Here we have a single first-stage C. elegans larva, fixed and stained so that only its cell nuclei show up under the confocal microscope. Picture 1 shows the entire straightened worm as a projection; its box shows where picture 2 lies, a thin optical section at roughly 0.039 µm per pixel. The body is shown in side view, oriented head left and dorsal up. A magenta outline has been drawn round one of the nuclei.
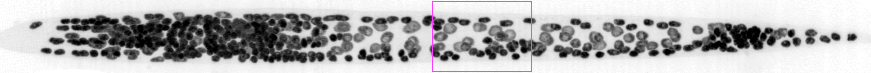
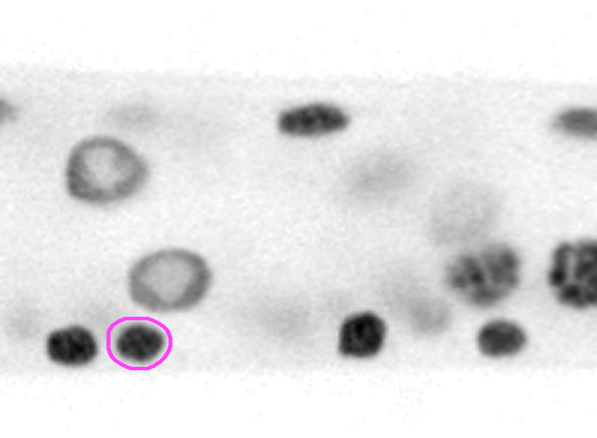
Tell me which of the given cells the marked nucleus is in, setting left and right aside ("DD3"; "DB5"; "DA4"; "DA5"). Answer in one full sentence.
The nucleus is from DD3, a neuron.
